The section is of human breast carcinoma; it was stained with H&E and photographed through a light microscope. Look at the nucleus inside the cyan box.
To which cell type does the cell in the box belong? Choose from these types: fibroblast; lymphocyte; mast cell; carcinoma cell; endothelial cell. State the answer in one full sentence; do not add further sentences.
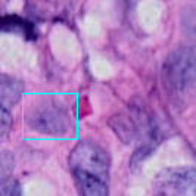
In cell-type terms, the cell in the box is a carcinoma cell.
